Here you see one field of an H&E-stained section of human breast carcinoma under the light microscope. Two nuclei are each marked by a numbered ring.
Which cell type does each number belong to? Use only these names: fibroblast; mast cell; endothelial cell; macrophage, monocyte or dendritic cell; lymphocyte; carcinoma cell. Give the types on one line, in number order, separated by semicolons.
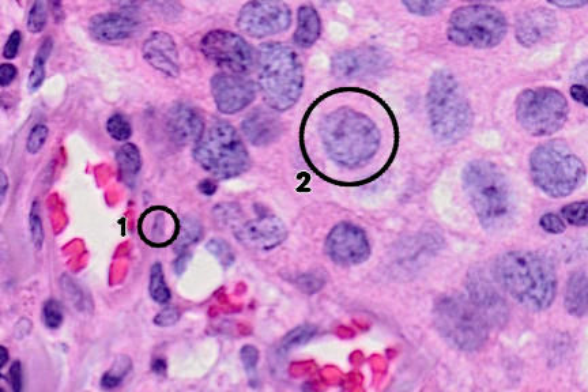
endothelial cell; carcinoma cell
